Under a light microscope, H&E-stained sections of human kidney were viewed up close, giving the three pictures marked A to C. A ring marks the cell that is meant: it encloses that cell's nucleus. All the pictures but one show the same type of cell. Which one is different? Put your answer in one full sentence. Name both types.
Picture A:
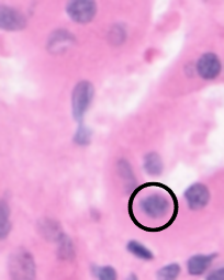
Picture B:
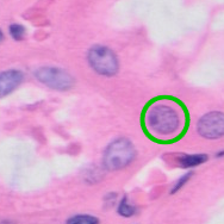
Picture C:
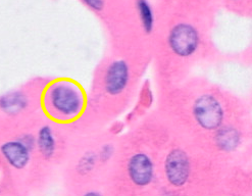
The different one is picture B; it shows a proximal tubule cell, whereas all the others show “loop of Henle or distal tubule cells”.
